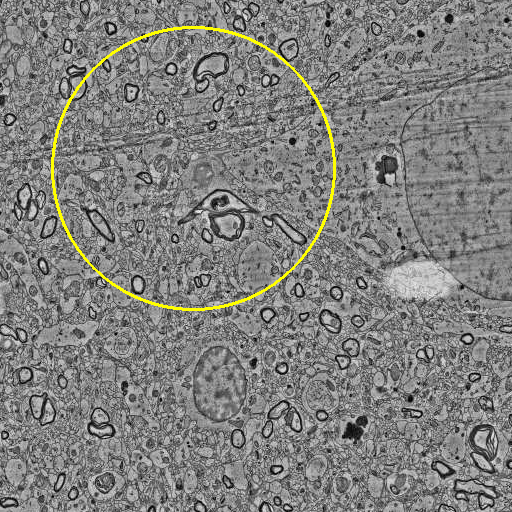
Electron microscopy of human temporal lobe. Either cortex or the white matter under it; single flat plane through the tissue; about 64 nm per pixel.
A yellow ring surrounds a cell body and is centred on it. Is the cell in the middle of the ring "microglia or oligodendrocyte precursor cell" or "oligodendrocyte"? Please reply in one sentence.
The ring is centred on an oligodendrocyte.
